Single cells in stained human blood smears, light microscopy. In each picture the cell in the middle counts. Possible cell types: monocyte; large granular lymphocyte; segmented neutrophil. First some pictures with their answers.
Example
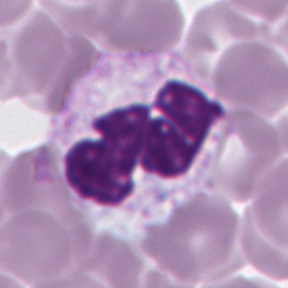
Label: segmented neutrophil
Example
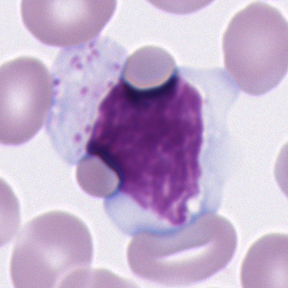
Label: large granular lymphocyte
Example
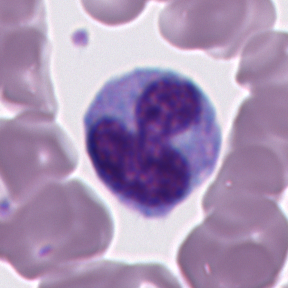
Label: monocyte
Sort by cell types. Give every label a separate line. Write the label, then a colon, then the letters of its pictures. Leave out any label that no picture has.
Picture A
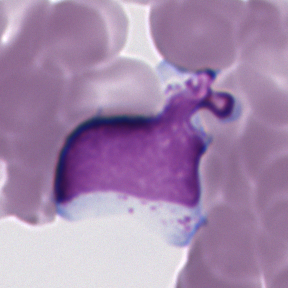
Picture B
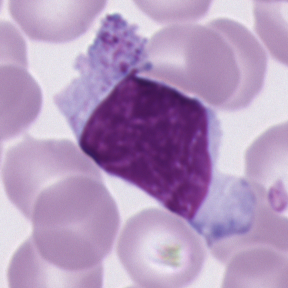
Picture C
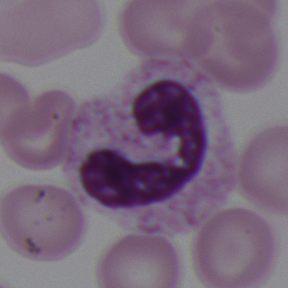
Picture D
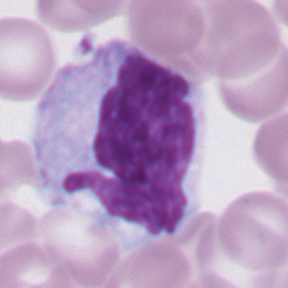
monocyte: D
large granular lymphocyte: A, B
segmented neutrophil: C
